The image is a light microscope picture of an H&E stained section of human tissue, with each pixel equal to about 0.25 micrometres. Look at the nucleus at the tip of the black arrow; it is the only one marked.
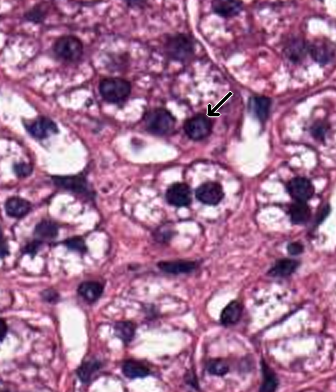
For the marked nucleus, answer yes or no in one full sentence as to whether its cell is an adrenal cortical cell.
Yes, the marked nucleus is recognised as belonging to an adrenal cortical cell.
